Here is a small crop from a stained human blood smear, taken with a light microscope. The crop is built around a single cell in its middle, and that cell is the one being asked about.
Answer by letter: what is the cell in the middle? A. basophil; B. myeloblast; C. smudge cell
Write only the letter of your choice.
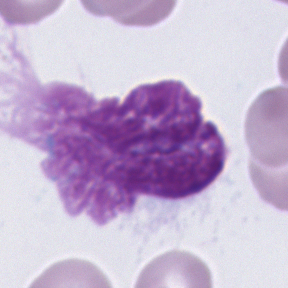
C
